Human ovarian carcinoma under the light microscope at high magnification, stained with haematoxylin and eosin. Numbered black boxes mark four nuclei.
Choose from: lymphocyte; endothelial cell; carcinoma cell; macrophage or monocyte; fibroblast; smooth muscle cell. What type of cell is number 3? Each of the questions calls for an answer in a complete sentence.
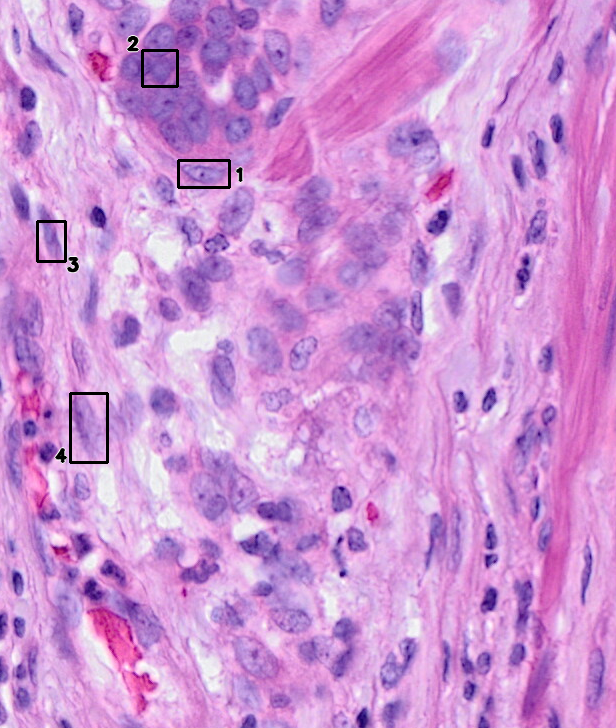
The cell that carries the label 3 is a fibroblast.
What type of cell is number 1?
The cell numbered 1 has been identified as a fibroblast.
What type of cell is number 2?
Cell 2 in the field is a carcinoma cell.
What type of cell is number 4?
The cell indicated with the number 4 is classed as a fibroblast.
